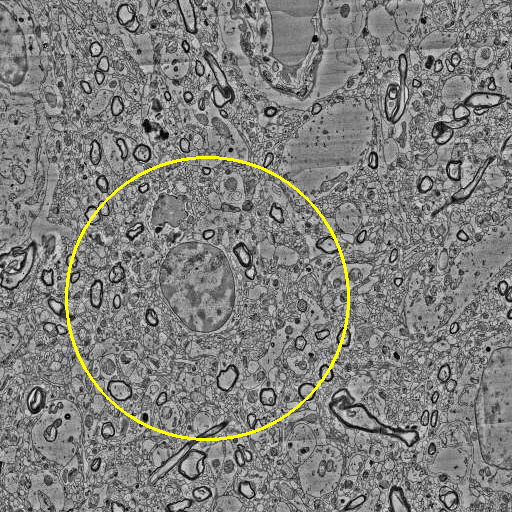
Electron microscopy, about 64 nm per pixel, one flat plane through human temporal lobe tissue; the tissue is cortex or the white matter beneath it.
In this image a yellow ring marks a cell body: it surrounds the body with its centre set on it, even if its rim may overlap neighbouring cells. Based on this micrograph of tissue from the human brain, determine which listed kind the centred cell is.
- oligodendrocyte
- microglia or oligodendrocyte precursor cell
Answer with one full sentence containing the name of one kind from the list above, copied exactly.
It is a microglial cell or oligodendrocyte precursor cell whose body the yellow ring encloses at its centre.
